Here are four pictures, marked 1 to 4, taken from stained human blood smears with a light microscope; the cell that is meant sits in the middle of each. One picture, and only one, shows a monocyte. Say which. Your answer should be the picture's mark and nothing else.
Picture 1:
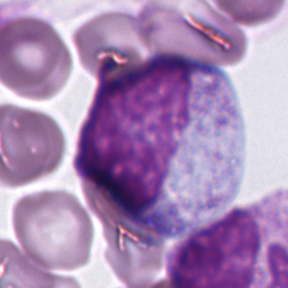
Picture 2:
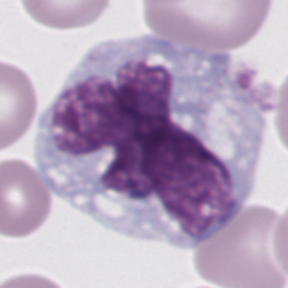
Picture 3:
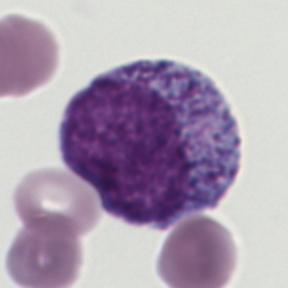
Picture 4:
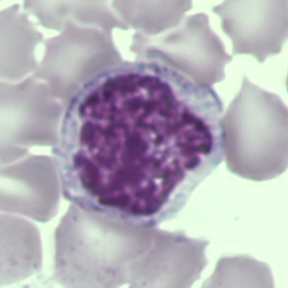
2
